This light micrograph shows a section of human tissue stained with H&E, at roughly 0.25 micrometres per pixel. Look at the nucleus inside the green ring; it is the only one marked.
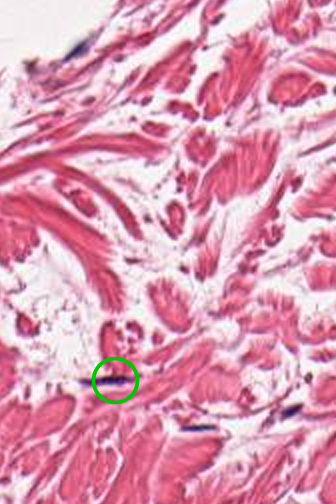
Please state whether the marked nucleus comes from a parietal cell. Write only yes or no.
no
